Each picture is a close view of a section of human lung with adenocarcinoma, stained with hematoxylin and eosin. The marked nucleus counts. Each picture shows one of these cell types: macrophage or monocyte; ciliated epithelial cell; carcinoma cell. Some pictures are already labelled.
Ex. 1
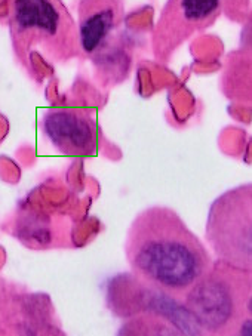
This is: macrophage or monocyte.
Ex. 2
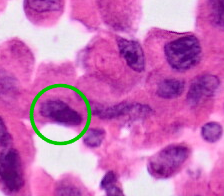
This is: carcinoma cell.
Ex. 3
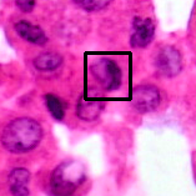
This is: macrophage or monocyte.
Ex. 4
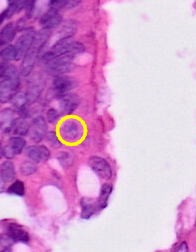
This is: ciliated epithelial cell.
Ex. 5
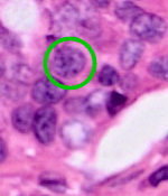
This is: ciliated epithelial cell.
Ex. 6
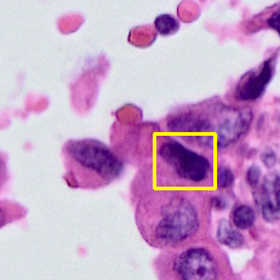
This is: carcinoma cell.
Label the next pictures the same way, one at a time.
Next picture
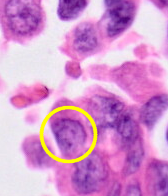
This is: carcinoma cell.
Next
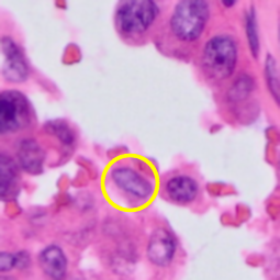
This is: macrophage or monocyte.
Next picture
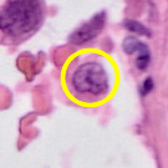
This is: macrophage or monocyte.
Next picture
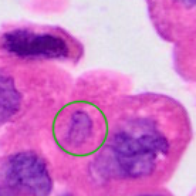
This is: carcinoma cell.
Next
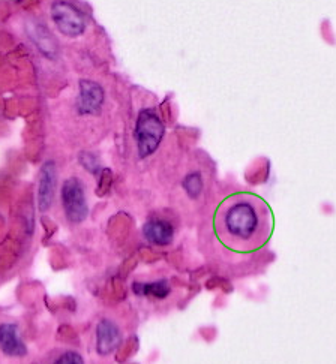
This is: macrophage or monocyte.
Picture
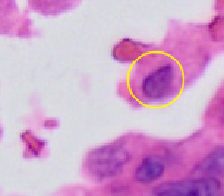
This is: macrophage or monocyte.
